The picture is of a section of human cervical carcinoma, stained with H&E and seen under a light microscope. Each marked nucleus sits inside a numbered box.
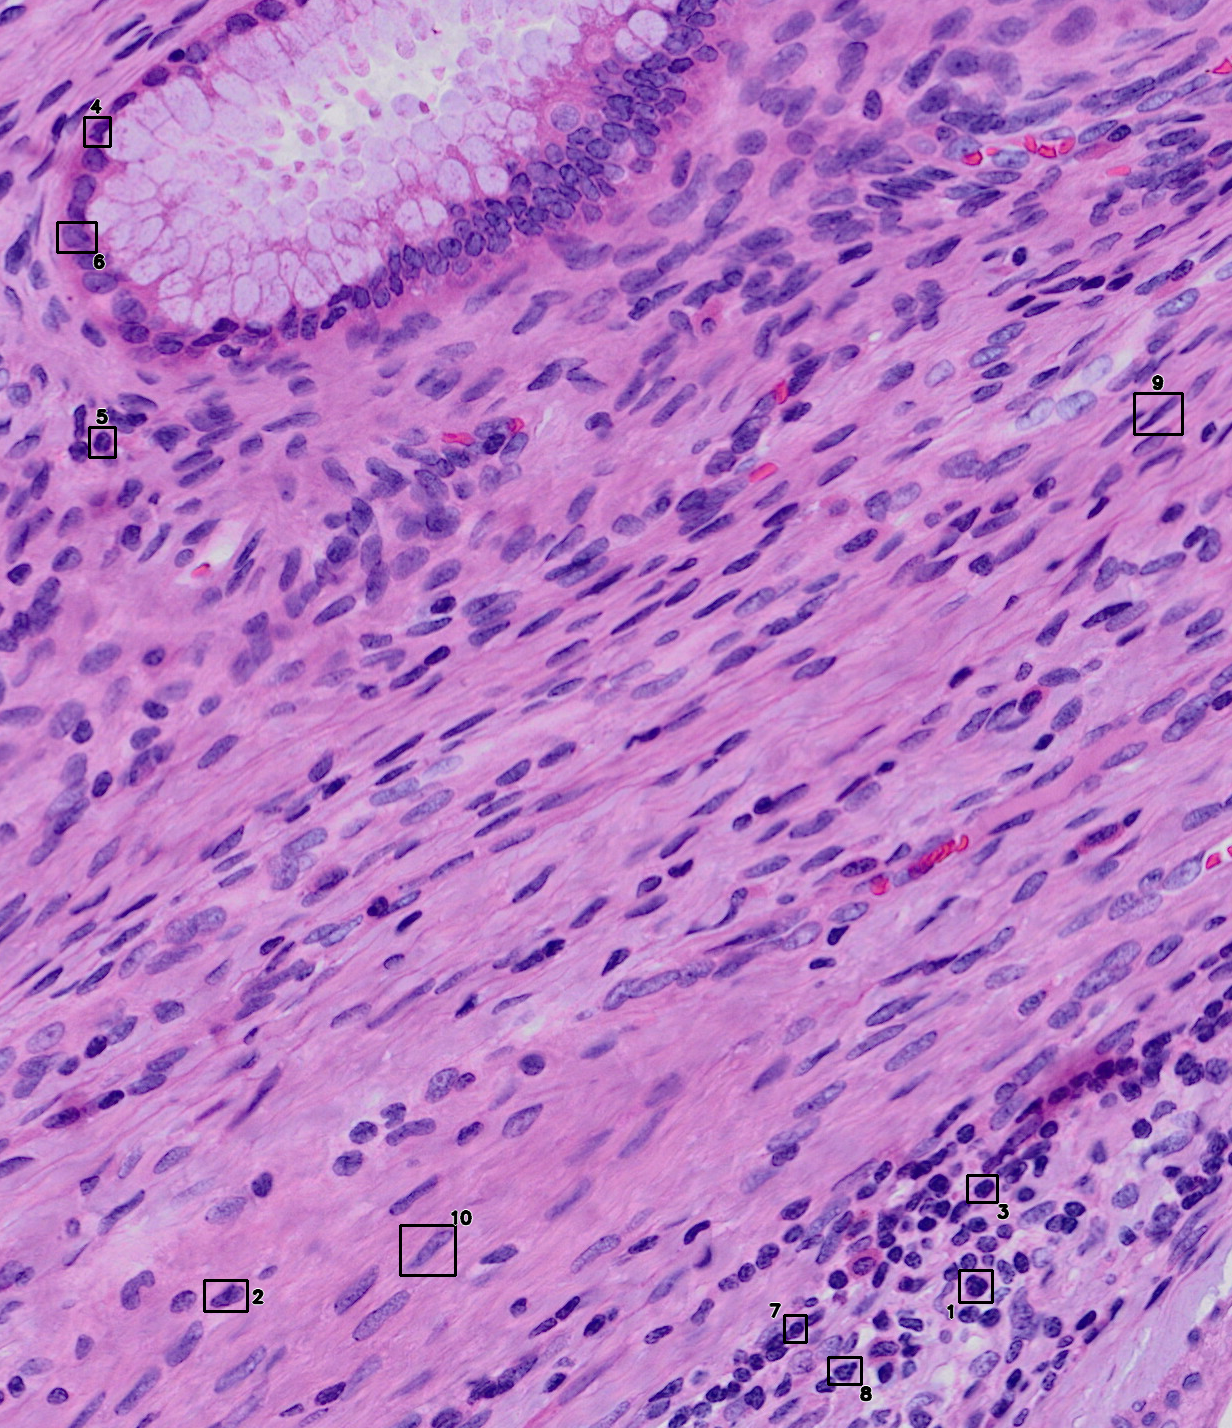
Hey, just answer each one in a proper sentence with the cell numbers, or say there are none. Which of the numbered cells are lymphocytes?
Within this tissue, the cells numbered 1, 2, 3, 5, 7 and 8 are lymphocytes.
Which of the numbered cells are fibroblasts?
Within the section, cells numbered 9 and 10 are fibroblasts.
